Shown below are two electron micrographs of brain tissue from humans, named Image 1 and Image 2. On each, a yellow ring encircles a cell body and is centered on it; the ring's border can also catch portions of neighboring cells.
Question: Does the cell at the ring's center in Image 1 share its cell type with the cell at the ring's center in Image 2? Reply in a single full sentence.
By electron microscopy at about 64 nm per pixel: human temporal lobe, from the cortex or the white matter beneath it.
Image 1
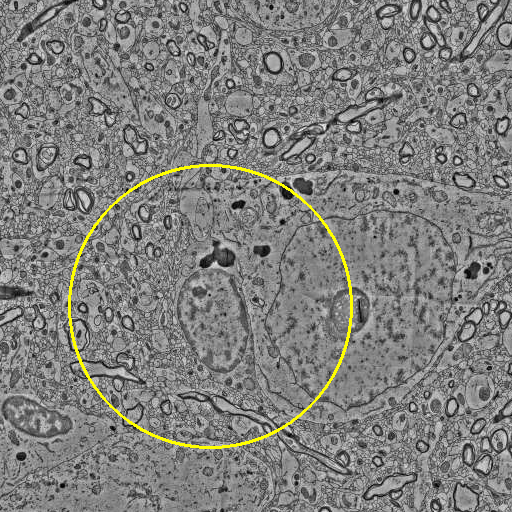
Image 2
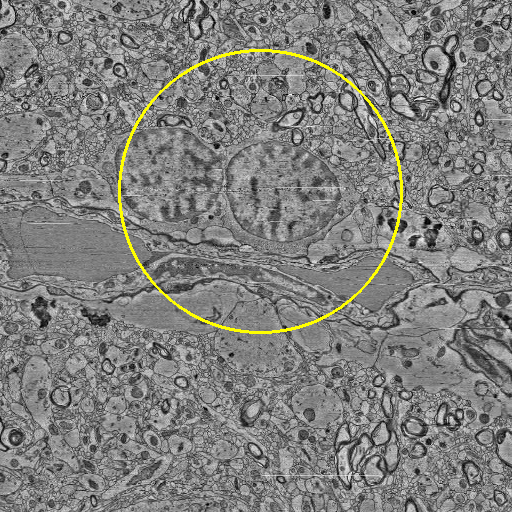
Yes, the two cells at the ring centers, in Image 1 and Image 2, share one cell type.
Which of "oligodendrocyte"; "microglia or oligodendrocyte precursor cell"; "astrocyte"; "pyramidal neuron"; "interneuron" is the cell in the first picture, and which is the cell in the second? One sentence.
The ring centre holds an oligodendrocyte in each of the two pictures.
